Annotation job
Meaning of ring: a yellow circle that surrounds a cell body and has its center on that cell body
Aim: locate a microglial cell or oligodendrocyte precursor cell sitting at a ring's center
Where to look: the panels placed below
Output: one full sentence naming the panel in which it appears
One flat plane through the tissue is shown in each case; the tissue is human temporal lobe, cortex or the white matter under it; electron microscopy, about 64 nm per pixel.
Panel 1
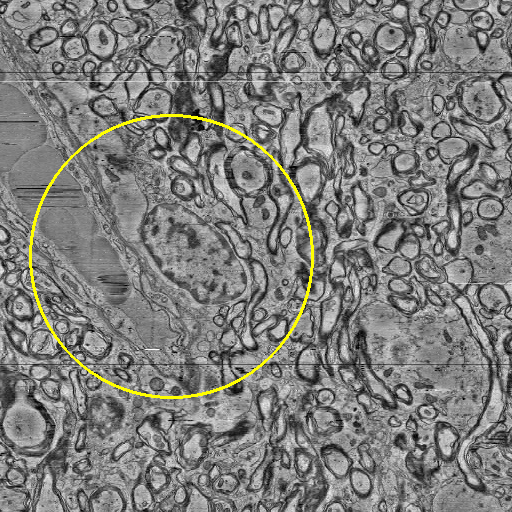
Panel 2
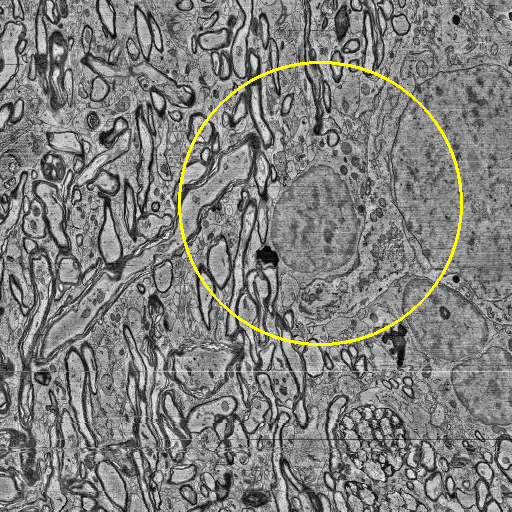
The cell at the center of the ring in panel 1 is the one sought.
